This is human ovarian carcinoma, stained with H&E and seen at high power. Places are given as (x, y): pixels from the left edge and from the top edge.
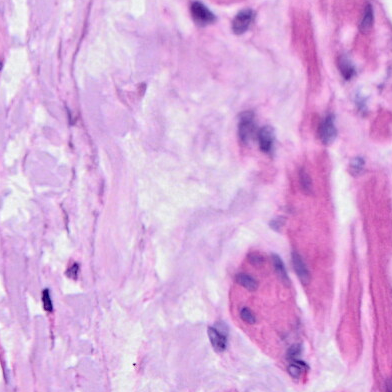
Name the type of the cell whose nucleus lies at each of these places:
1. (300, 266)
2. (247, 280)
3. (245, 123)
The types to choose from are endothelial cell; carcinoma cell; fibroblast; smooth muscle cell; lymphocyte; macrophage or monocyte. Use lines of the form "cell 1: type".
cell 1: smooth muscle cell
cell 2: smooth muscle cell
cell 3: endothelial cell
